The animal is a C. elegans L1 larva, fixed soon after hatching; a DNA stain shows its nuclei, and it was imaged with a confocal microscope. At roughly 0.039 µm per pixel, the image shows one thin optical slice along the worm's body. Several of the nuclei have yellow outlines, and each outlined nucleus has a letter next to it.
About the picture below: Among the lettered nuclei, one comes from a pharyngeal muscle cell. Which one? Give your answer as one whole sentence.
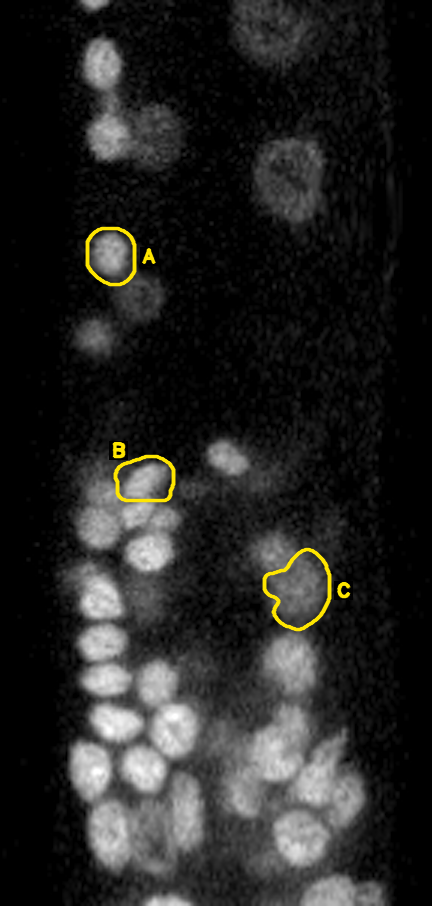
The one from a pharyngeal muscle cell is C.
